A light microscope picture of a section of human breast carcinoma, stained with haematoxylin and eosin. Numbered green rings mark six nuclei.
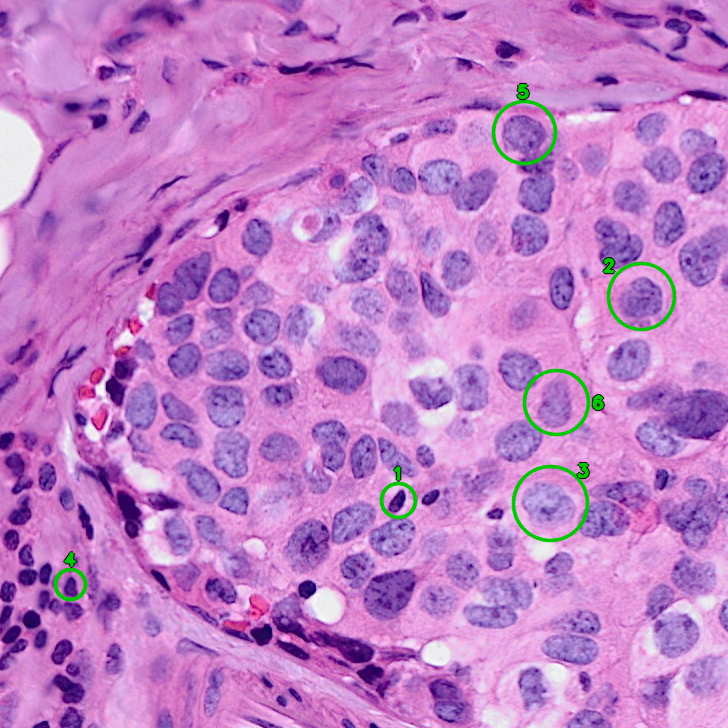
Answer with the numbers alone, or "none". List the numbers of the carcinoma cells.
2, 3, 5, 6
